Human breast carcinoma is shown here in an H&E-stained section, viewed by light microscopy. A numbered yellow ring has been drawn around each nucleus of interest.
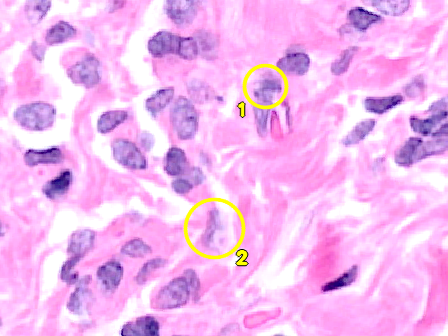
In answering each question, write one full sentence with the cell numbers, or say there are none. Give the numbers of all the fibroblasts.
Of all the numbered cells, only one is a fibroblast, and that is cell 2.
